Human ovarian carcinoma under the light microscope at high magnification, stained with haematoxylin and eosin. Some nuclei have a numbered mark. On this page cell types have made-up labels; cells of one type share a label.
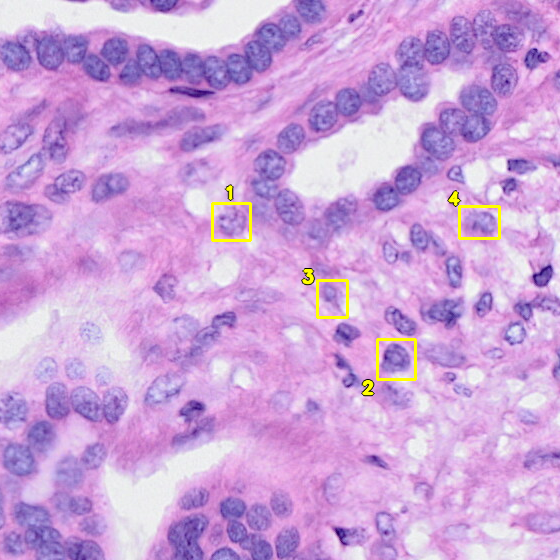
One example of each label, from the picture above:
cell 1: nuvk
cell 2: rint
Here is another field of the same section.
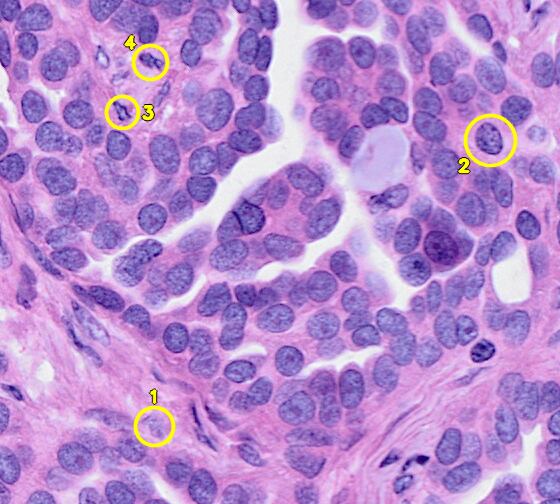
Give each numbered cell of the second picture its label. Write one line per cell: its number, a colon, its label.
1: nuvk
2: rint
3: nuvk
4: nuvk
